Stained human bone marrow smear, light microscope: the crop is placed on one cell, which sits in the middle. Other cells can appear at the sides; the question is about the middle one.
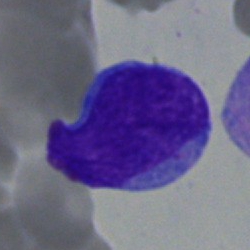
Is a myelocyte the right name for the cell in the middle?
no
